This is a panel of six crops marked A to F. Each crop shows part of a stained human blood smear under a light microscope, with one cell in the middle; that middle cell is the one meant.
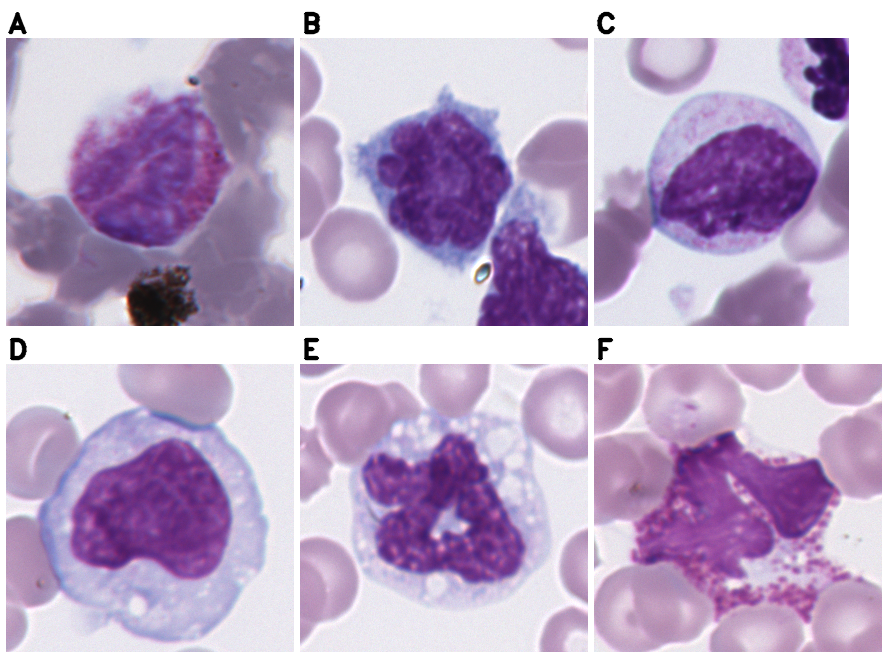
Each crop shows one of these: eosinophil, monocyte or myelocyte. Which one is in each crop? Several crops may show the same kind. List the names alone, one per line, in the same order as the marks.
eosinophil
monocyte
myelocyte
monocyte
monocyte
eosinophil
